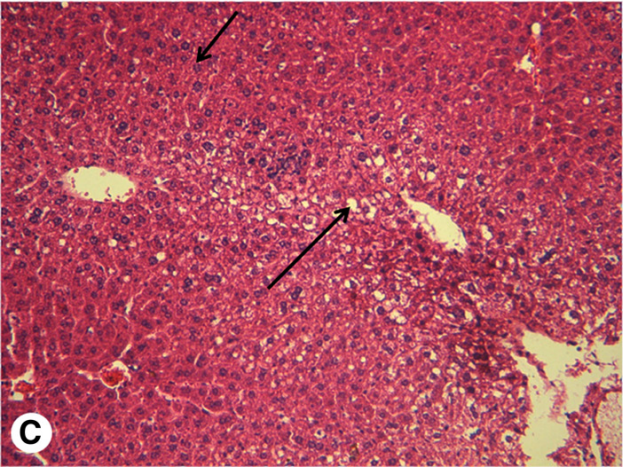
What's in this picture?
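Liver tissue stained pink, with hepatocytes arranged in cords around several small vessels. The hepatocytes are polygonal with round, dark-purple central nuclei and pink cytoplasm. In the middle of the field many small, round, clear vacuoles crowd among the cells, marking fatty infiltration, while elsewhere the hepatocytes look swollen and the sinusoids narrowed.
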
